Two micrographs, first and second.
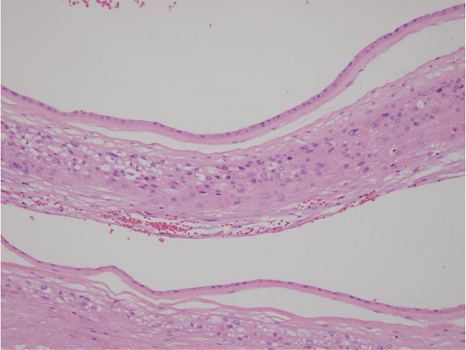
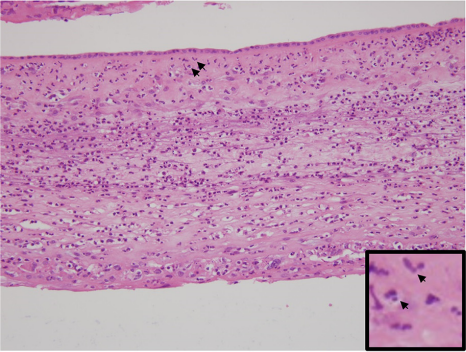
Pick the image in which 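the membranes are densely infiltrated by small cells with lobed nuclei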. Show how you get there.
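Second image: the whole membrane is crowded with small dark nuclei. On this evidence: the second image.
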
